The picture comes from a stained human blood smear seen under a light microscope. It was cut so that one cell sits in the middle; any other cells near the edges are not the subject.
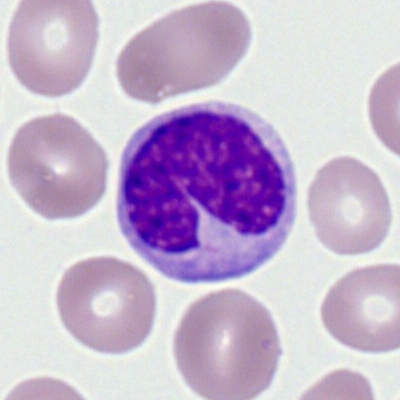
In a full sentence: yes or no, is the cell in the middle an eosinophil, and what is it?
No, what is seen at the centre is a monocyte instead of an eosinophil.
